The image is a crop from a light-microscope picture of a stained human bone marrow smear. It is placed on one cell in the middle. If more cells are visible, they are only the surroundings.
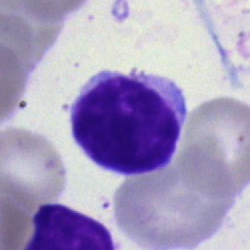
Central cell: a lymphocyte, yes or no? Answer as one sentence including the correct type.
Yes, the central cell of this crop corresponds to a lymphocyte.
